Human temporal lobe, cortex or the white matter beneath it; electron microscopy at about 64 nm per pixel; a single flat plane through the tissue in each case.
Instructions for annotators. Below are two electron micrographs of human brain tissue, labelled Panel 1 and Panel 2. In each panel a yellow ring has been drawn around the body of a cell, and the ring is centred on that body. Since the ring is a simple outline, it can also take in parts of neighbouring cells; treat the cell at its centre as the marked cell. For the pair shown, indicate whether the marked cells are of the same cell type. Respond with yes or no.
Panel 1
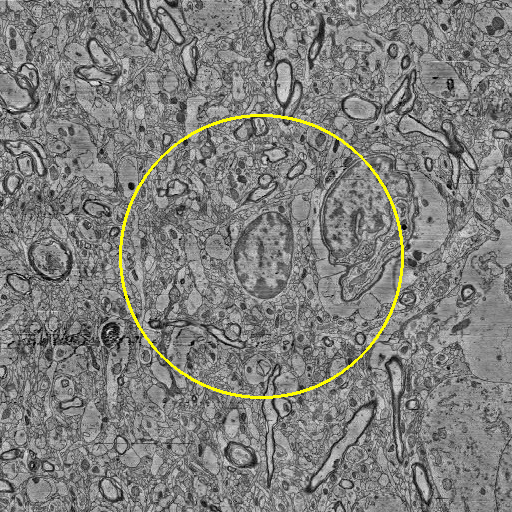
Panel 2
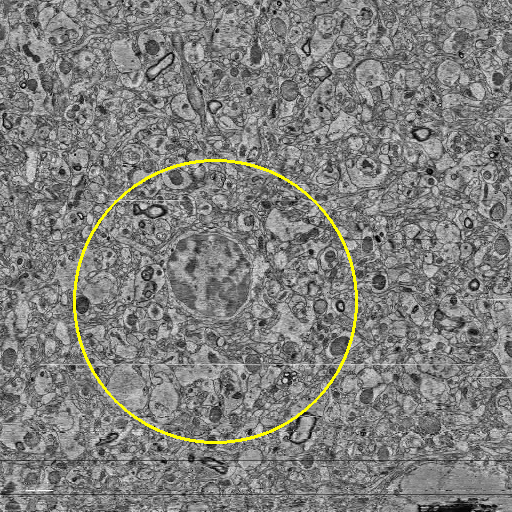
yes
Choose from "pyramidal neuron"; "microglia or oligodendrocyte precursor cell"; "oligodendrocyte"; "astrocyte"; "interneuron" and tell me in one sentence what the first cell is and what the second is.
Each cell, in the first picture and the second, is a microglial cell or oligodendrocyte precursor cell.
